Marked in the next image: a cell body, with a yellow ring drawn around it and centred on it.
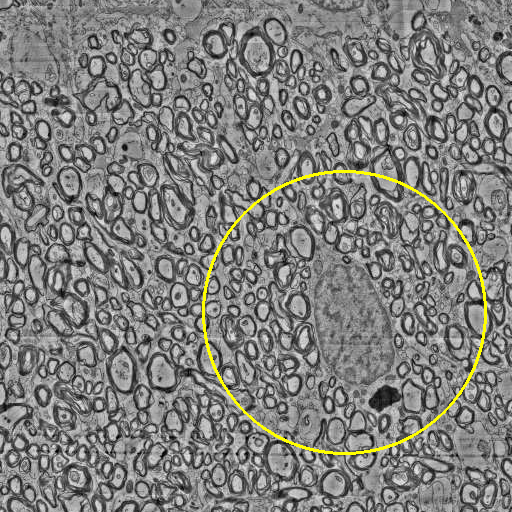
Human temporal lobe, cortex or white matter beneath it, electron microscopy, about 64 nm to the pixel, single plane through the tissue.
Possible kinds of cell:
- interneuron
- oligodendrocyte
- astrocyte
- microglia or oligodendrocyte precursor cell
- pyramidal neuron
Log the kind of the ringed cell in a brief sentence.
The ringed cell body is that of an oligodendrocyte.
